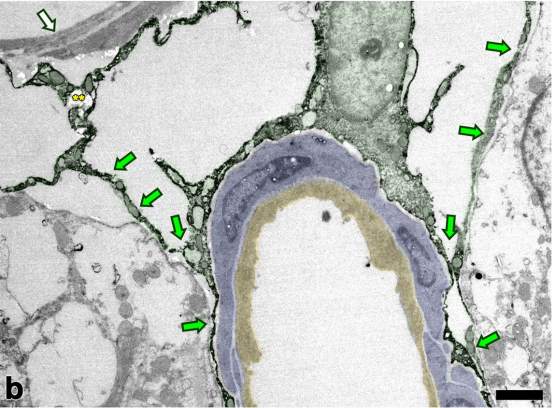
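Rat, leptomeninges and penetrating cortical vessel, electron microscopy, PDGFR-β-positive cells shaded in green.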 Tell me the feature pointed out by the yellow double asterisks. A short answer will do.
collagen fibrils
